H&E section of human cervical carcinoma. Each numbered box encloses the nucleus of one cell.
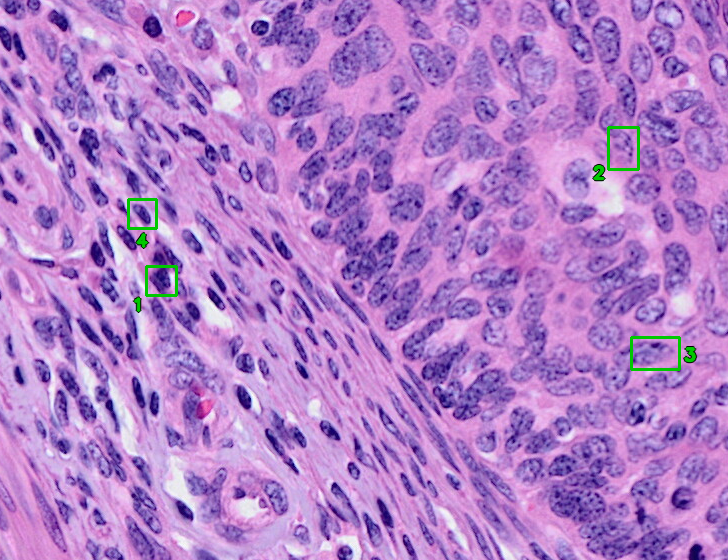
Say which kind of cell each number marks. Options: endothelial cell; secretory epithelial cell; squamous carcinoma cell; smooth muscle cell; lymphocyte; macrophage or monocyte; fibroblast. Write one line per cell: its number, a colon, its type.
1: lymphocyte
2: squamous carcinoma cell
3: squamous carcinoma cell
4: lymphocyte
